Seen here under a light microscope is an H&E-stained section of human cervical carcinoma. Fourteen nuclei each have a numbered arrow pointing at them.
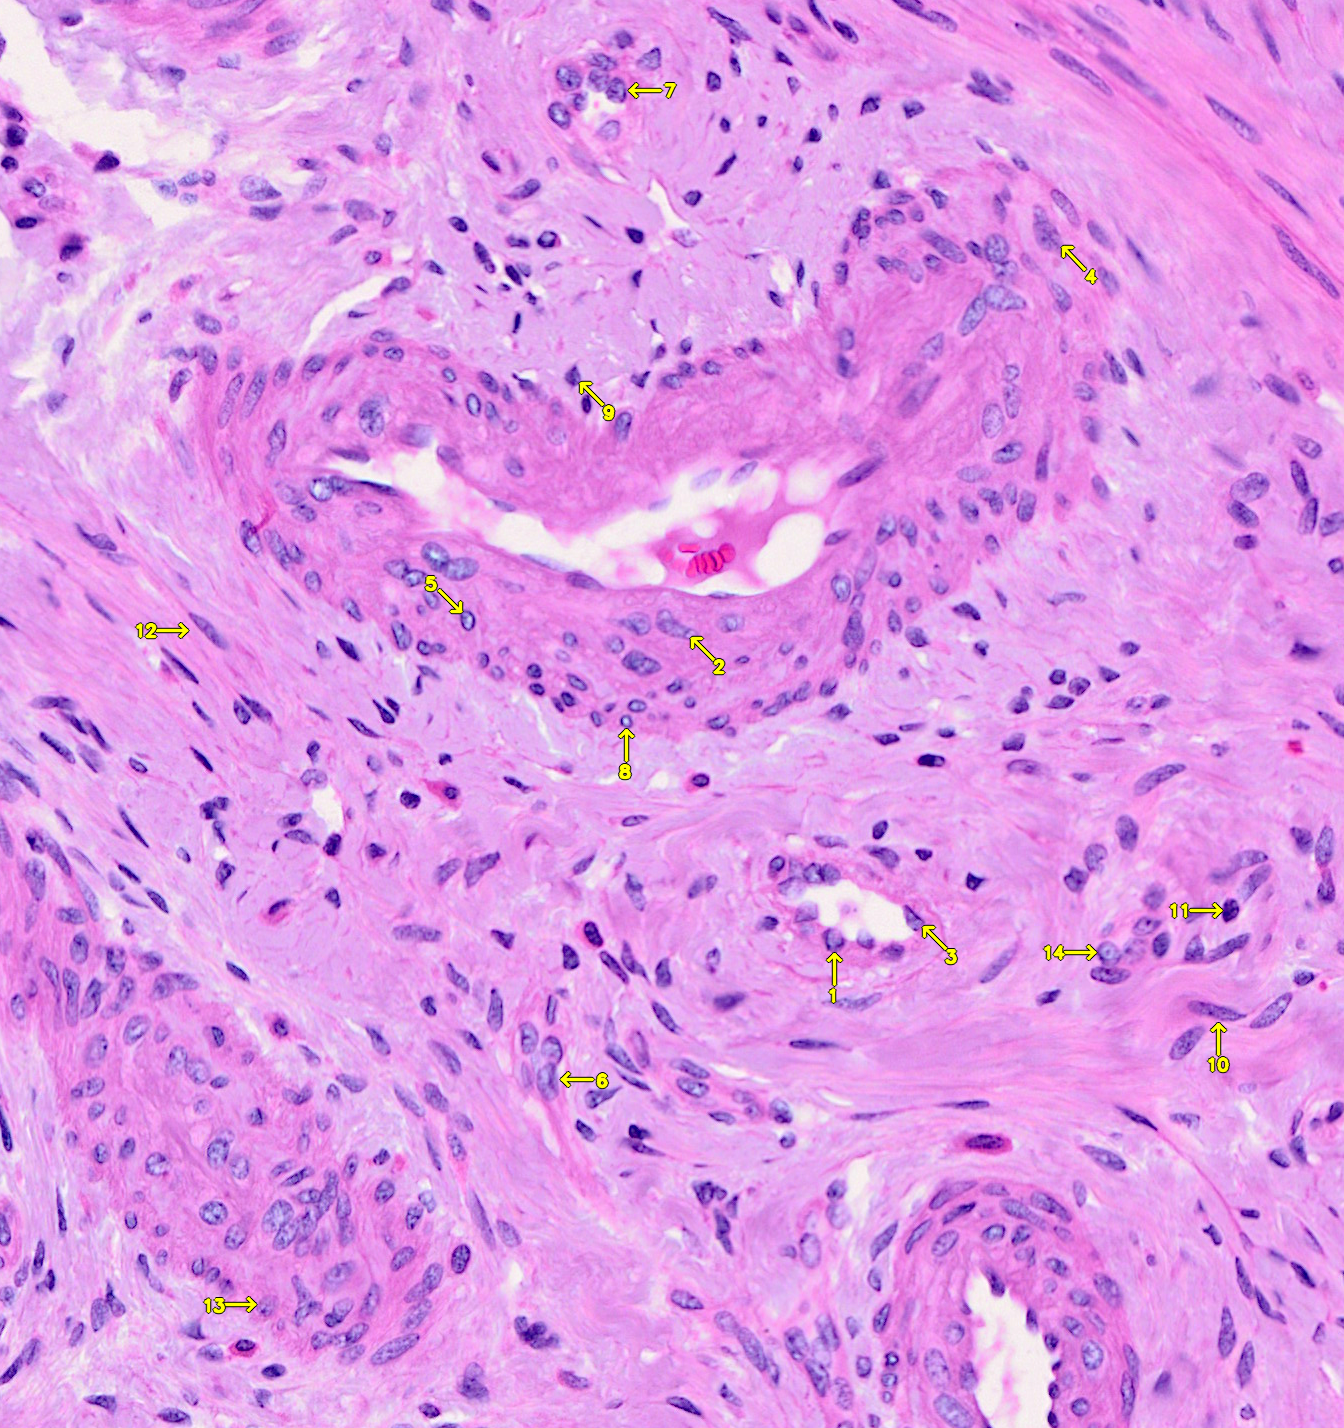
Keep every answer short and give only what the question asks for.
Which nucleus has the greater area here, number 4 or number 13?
4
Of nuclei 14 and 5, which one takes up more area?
14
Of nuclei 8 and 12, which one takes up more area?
12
